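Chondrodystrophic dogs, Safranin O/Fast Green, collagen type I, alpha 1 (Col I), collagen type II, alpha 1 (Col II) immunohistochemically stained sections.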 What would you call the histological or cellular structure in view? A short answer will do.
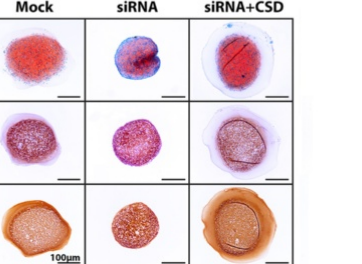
Microaggregates.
